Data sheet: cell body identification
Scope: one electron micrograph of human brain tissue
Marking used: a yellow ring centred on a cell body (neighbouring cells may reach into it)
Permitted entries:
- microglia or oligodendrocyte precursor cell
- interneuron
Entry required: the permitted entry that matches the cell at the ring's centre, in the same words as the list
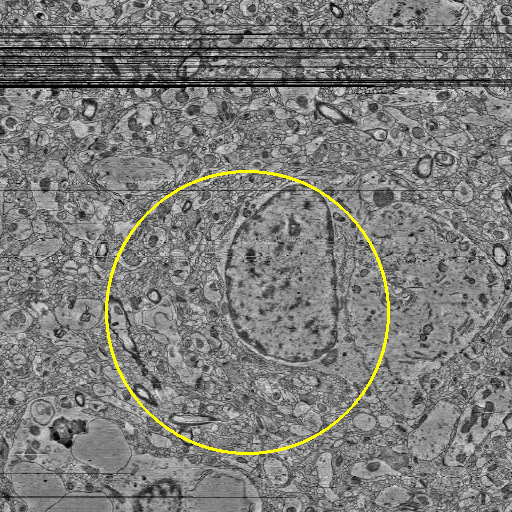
microglia or oligodendrocyte precursor cell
